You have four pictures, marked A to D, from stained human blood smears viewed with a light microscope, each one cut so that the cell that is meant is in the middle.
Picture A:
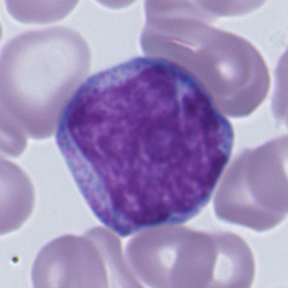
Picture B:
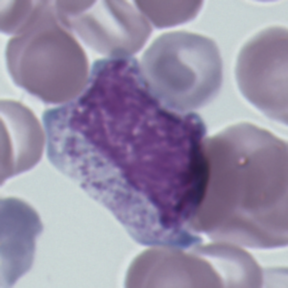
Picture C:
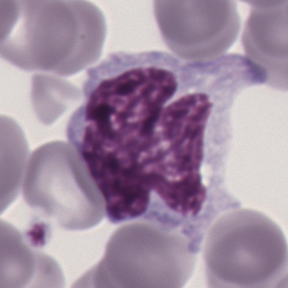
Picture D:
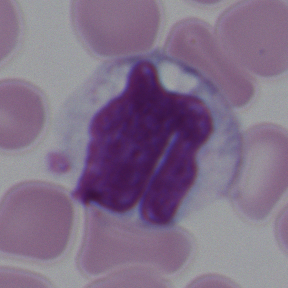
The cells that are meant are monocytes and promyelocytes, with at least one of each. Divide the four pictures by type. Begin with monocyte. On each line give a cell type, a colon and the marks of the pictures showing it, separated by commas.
monocyte: C, D
promyelocyte: A, B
